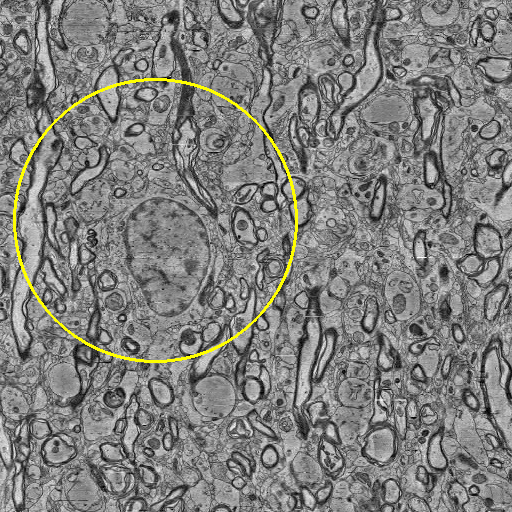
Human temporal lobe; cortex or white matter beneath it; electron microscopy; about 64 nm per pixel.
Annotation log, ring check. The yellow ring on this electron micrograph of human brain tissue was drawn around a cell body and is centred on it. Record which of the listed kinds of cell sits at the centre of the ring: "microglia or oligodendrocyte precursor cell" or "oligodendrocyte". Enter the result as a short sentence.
The cell at the centre of the ring is a microglial cell or oligodendrocyte precursor cell.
